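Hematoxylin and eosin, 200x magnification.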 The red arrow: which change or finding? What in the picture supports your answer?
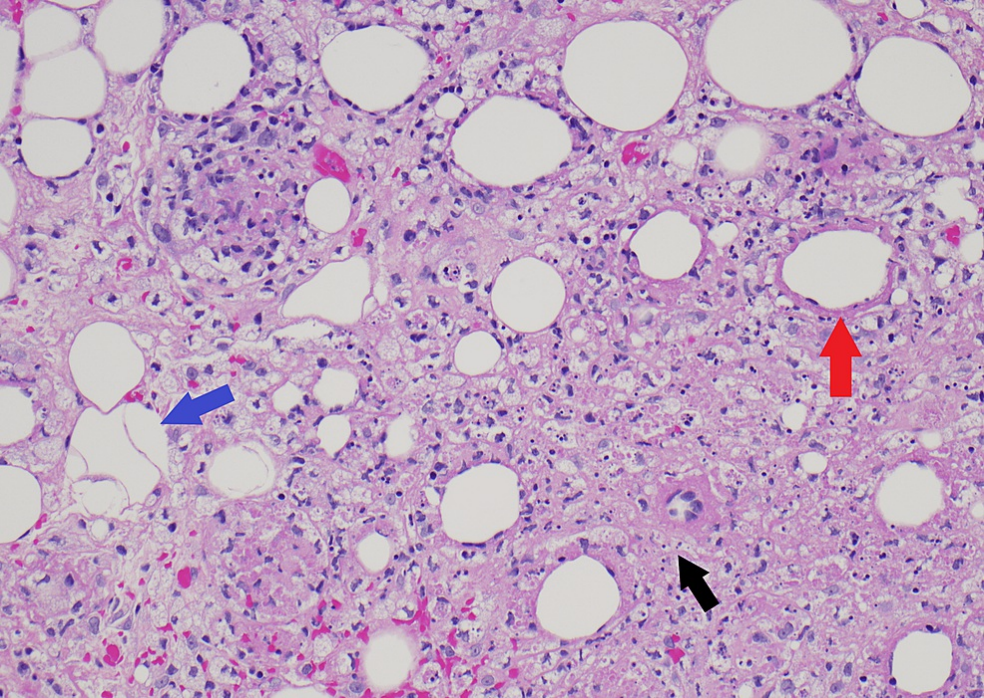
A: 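The fat space at the red arrow is rimmed by a band of smooth, glassy pink material. Several other fat spaces have similar thickened pink rims. So: hyalinization of fat globules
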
